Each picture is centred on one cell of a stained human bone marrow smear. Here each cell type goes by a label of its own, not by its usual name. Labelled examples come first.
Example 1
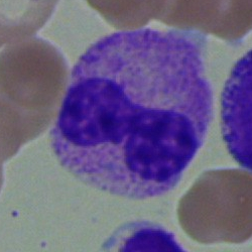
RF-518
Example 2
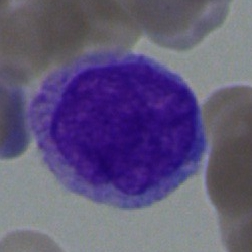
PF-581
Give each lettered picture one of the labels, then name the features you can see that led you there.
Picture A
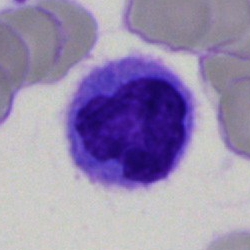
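PF-581. Reason: The nucleus fills most of the cell, leaving a narrow rim of cytoplasm.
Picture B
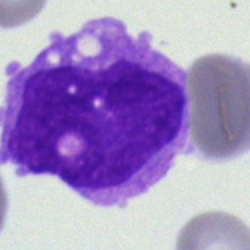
PF-581. Reason: The nucleus fills most of the cell.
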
